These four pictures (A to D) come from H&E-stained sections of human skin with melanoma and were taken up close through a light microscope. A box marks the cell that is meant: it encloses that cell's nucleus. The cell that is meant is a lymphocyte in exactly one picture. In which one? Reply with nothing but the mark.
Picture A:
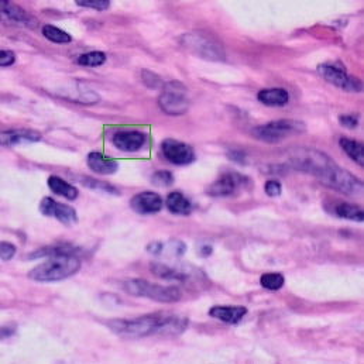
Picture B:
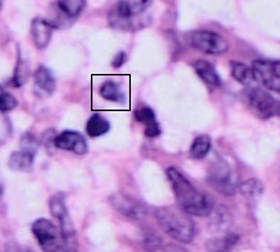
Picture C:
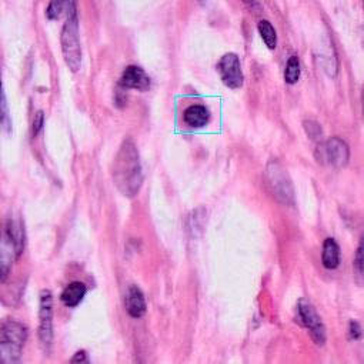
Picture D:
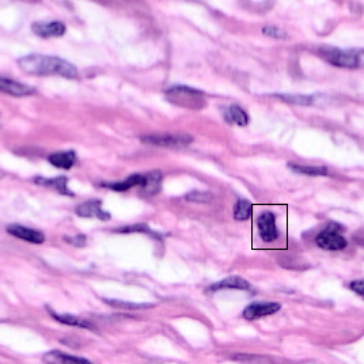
B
